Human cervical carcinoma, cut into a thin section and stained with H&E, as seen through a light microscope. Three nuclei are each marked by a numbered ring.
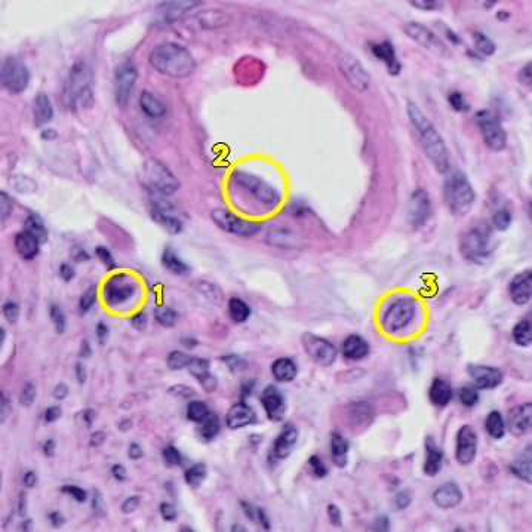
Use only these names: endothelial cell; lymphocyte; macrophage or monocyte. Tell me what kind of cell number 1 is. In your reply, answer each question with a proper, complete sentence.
The numbered cell 1 is identified here as a lymphocyte.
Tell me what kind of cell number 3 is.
The cell to which the number 3 is assigned is a macrophage or monocyte.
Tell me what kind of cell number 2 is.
The cell whose nucleus carries the number 2 is an endothelial cell.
